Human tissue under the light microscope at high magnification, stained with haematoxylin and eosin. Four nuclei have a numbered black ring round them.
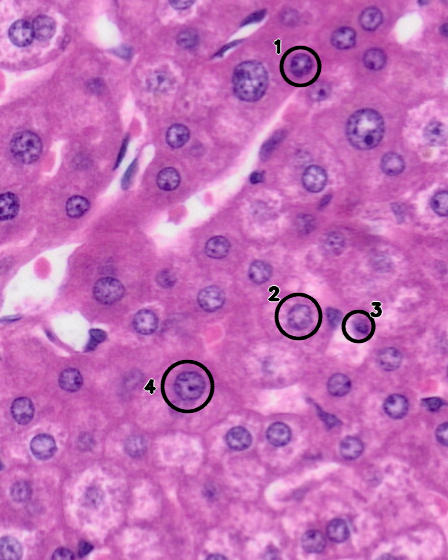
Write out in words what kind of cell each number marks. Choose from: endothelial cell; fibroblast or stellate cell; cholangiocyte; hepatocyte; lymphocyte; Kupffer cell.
Cell 1 is a hepatocyte, cell 2 is a hepatocyte, cell 3 is a Kupffer cell and cell 4 is a hepatocyte.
